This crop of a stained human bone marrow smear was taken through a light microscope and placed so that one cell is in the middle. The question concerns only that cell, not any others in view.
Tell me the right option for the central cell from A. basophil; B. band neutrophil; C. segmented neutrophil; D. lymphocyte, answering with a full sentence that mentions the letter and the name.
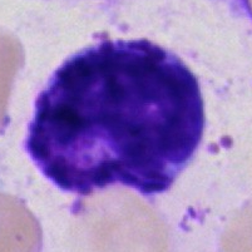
The centered cell is a basophil, which is why option A is right.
